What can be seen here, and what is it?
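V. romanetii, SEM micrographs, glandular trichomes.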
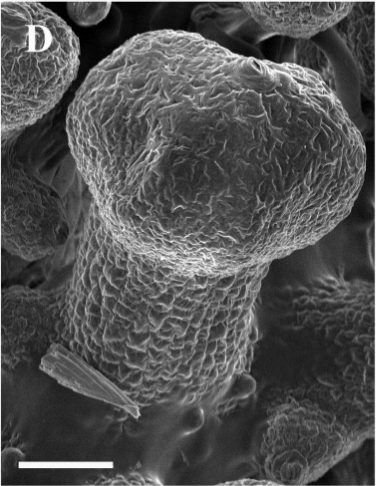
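A large, broadly rounded multicellular head, slightly lobed at the top, sits on a short, wide stalk. The head surface is densely wrinkled, the cell outlines irregular, with a small depression near the apex. The stalk consists of small, regularly packed cells in rows. Neighbouring rounded heads appear at the edges, and a pointed hair lies across the base.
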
